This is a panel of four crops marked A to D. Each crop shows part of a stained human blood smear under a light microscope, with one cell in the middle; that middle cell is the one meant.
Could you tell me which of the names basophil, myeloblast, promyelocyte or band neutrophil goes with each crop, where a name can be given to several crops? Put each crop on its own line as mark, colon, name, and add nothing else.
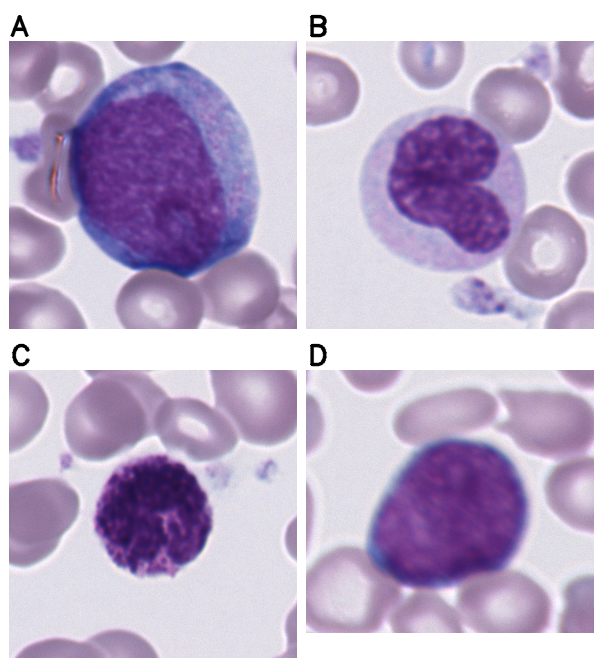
A: promyelocyte
B: band neutrophil
C: basophil
D: myeloblast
